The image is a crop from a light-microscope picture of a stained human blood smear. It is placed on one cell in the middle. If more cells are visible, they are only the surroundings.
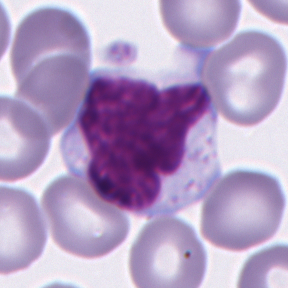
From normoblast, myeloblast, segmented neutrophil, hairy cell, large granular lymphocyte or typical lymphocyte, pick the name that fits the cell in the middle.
large granular lymphocyte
